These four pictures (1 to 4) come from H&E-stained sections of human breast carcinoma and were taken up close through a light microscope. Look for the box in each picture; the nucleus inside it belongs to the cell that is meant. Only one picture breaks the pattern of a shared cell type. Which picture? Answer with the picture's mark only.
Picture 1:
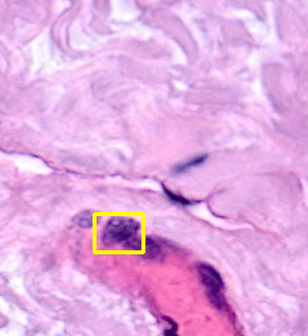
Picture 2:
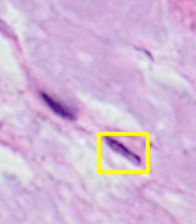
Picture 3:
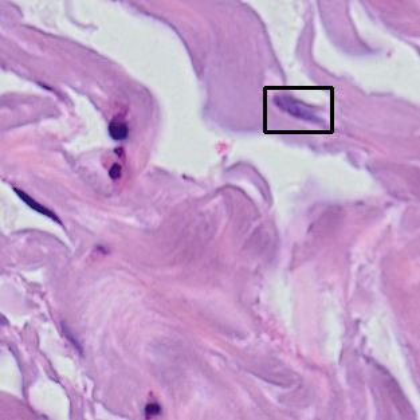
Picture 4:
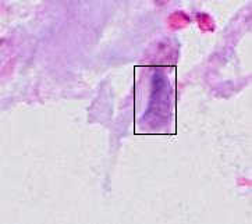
1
